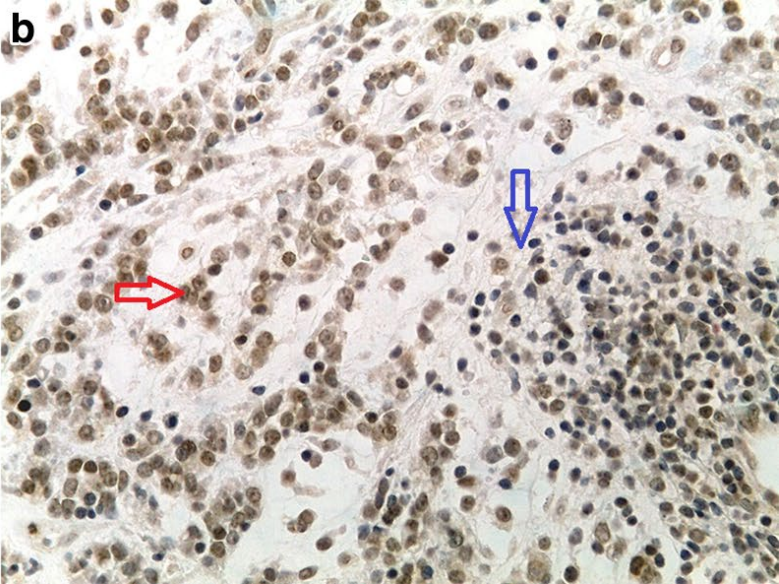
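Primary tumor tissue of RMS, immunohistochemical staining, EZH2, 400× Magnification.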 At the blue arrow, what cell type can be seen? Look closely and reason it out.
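Normal lymphocytes. The arrow points into a crowd of small cells with small, round, dark blue nuclei. These cells have very little visible cytoplasm. Their nuclei lack the brown colour seen in the larger nuclei to the left.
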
